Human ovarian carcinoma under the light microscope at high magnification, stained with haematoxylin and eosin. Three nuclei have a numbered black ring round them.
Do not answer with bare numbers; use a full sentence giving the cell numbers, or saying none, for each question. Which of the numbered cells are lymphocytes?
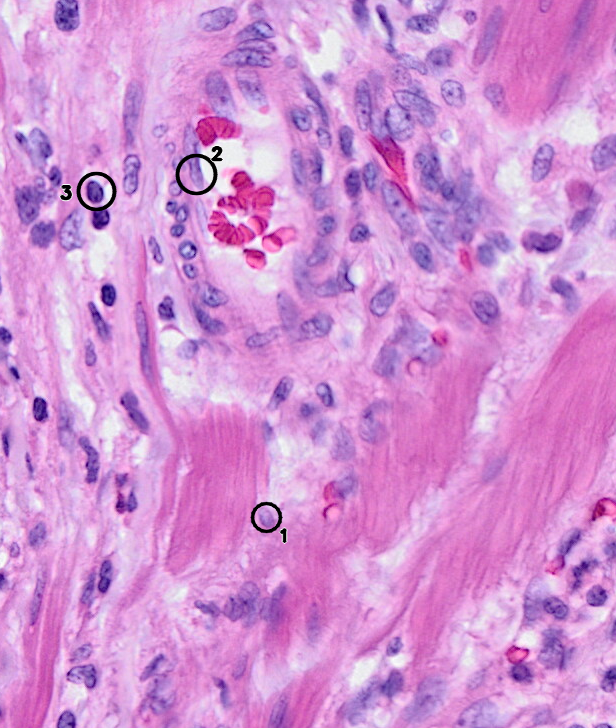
With the exception of cell 3, no marked cell is a lymphocyte.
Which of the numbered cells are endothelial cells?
Of those with numbers, only cell 2 is an endothelial cell.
